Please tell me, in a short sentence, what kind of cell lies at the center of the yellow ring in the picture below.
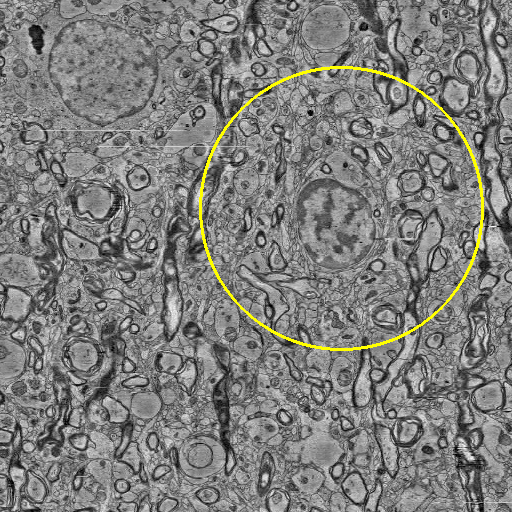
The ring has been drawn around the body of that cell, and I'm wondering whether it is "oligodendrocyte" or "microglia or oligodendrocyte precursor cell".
The cell at the center of the ring is a microglial cell or oligodendrocyte precursor cell.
